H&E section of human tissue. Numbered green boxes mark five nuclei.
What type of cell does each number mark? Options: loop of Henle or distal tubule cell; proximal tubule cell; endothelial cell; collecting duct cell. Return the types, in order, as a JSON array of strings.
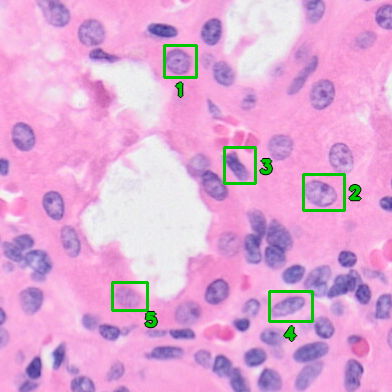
["proximal tubule cell", "proximal tubule cell", "endothelial cell", "collecting duct cell", "proximal tubule cell"]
